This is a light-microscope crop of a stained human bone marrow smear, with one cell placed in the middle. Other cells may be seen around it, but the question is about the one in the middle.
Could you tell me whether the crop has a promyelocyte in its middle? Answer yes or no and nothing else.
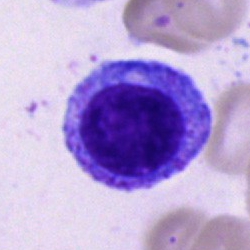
yes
